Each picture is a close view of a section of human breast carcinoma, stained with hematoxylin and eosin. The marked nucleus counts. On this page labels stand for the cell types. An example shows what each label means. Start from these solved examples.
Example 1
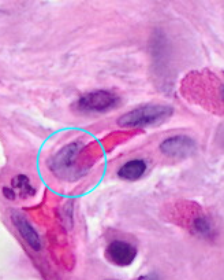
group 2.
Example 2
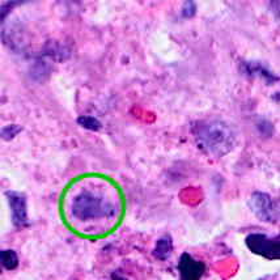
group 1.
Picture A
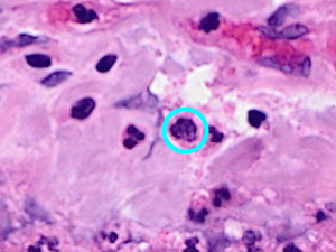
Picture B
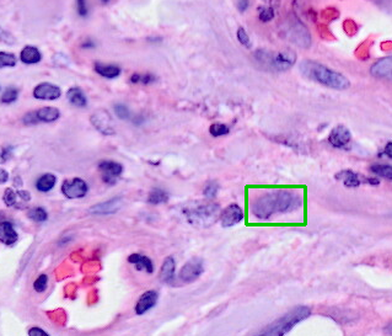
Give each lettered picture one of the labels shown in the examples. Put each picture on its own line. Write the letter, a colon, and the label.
A: group 1.
B: group 1.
